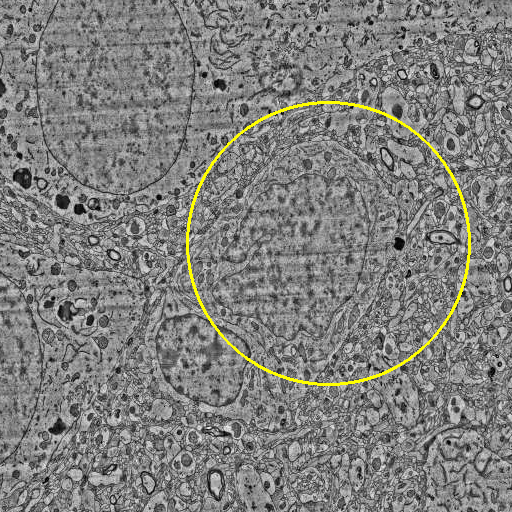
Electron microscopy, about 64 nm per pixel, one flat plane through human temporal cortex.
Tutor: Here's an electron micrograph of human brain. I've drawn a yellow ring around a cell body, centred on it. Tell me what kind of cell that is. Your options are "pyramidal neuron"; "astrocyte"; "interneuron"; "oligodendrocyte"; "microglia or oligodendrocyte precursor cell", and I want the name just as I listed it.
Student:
interneuron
